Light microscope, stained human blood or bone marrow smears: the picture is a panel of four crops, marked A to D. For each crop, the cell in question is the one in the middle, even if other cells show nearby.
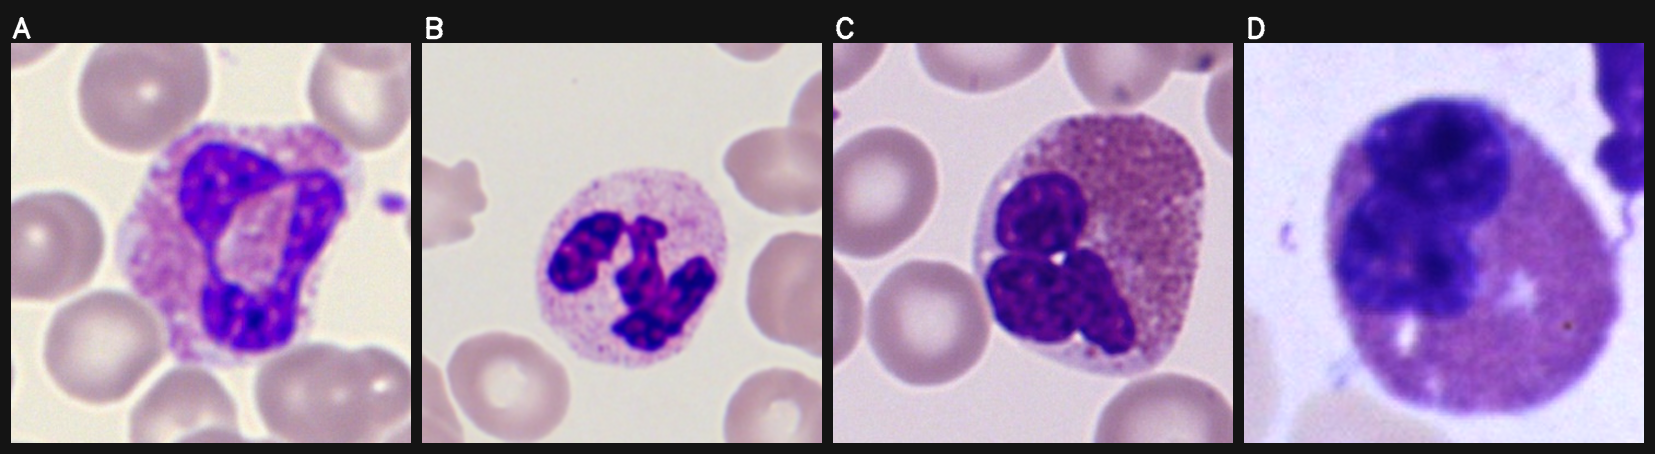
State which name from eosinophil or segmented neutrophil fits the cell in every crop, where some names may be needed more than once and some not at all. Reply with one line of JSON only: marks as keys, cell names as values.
{"A": "eosinophil", "B": "segmented neutrophil", "C": "eosinophil", "D": "eosinophil"}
